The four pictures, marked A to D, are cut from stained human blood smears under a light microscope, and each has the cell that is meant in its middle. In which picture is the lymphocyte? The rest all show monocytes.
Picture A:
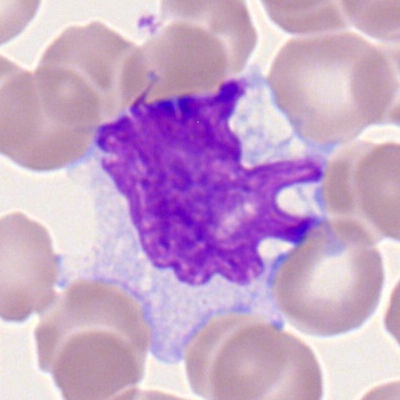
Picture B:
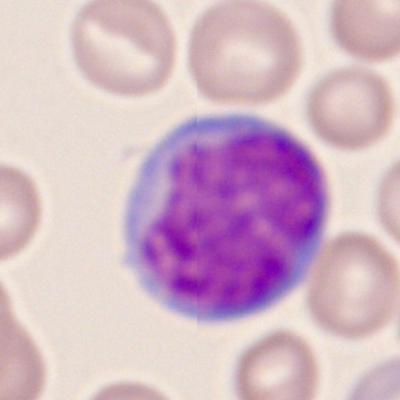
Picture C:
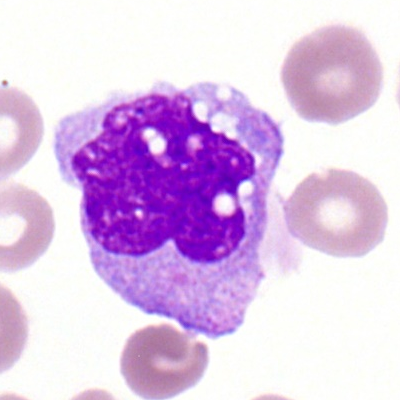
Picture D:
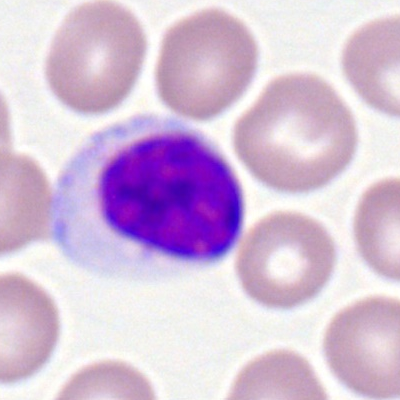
D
